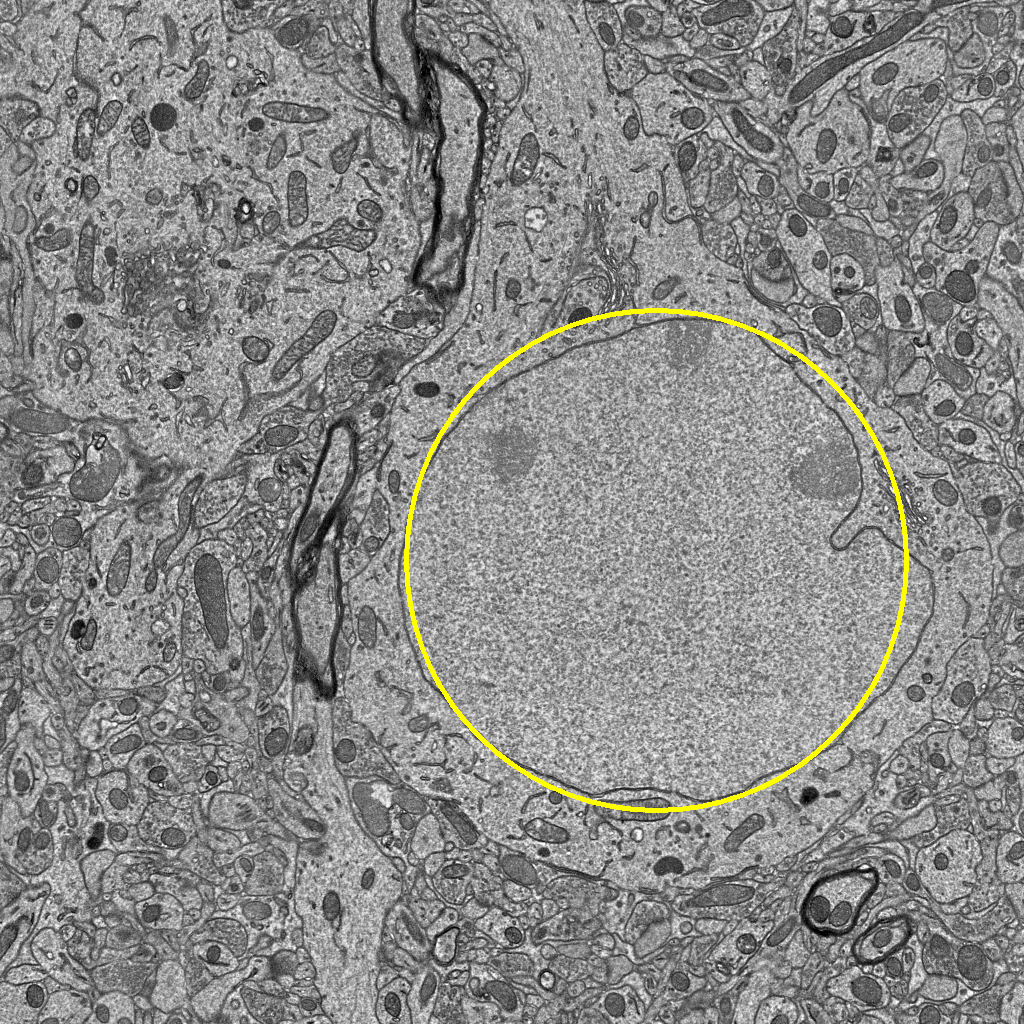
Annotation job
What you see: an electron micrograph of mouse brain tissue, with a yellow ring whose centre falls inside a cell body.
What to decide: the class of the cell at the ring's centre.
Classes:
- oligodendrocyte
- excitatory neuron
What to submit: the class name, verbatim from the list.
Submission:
excitatory neuron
